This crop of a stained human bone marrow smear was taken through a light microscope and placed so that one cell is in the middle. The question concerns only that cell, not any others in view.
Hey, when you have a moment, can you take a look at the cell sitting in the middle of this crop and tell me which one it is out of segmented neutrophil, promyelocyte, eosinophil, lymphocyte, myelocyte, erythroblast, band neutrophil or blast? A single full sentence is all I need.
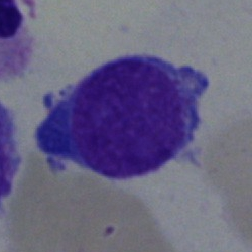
The central cell, amid any neighbouring cells, is a lymphocyte.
